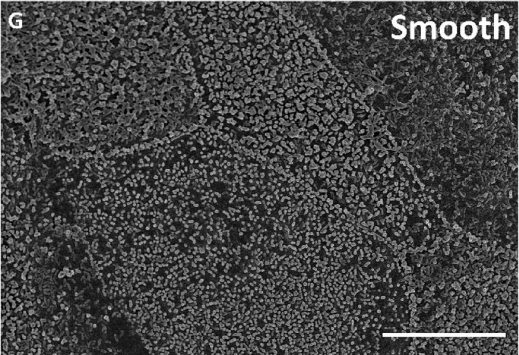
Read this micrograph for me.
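Surface view of an epithelial cell layer whose apical surfaces are covered by densely packed short microvilli. Faint linear cell borders run across the field between fields of projections.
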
